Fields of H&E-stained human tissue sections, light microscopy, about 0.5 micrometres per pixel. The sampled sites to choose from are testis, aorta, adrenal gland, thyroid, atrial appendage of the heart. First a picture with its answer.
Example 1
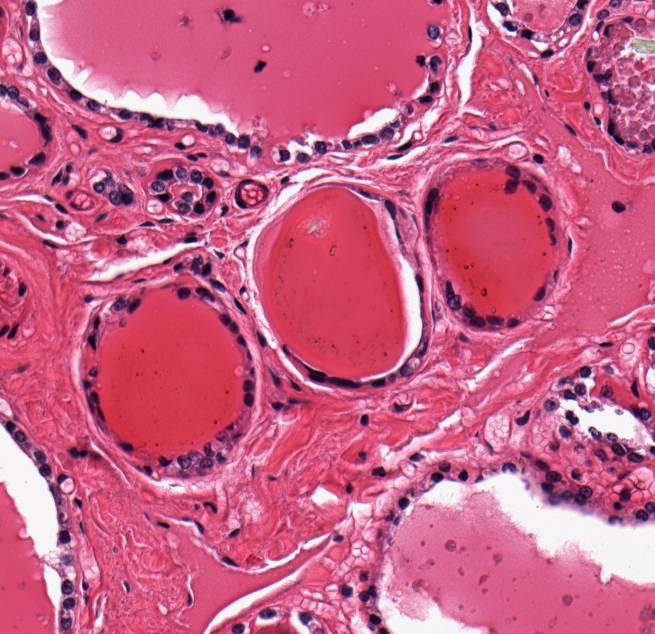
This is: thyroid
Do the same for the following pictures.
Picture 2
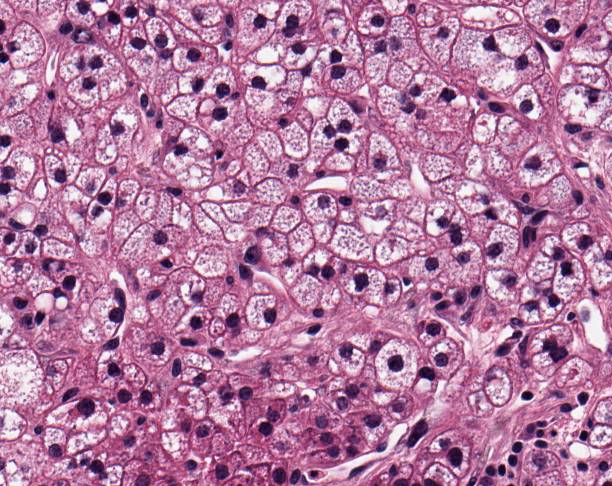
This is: adrenal gland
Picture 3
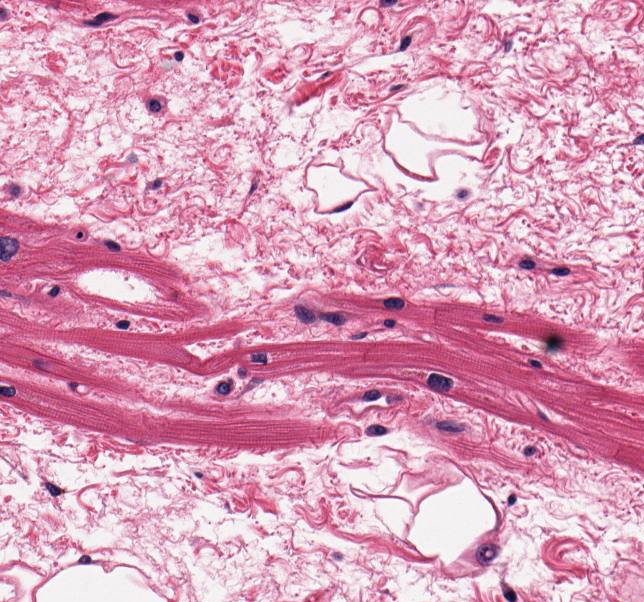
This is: atrial appendage of the heart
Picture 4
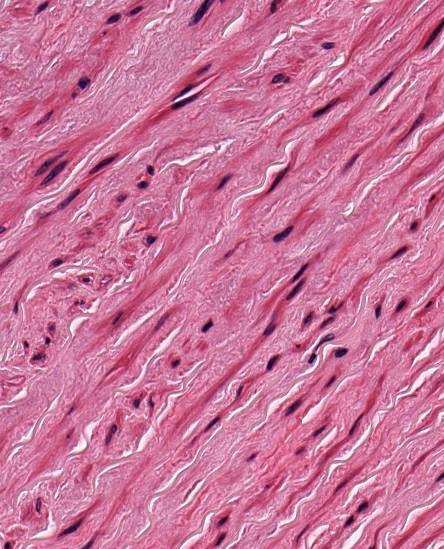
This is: aorta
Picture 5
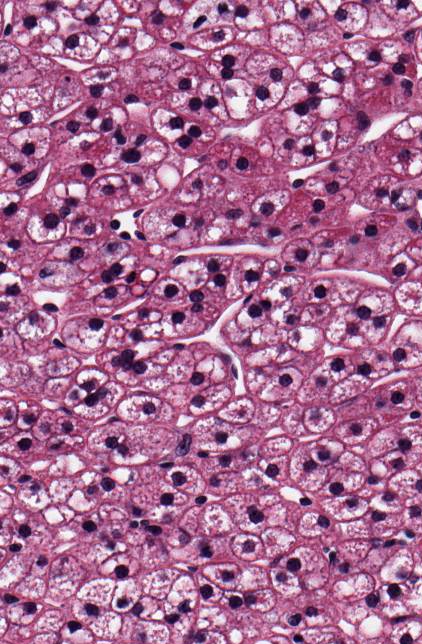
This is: adrenal gland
